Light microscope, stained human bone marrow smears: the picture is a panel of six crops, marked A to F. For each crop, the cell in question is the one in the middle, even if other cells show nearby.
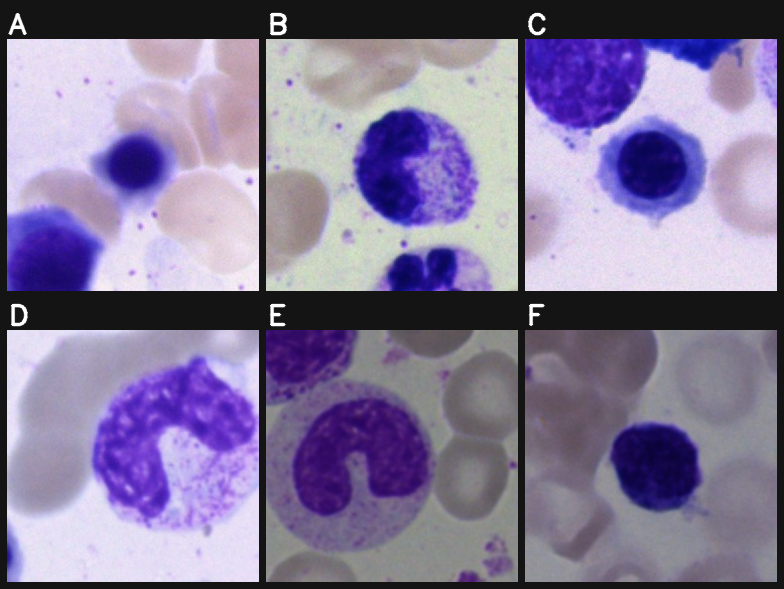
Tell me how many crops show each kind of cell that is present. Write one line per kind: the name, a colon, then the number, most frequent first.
band neutrophil: 3
normoblast: 2
lymphocyte: 1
